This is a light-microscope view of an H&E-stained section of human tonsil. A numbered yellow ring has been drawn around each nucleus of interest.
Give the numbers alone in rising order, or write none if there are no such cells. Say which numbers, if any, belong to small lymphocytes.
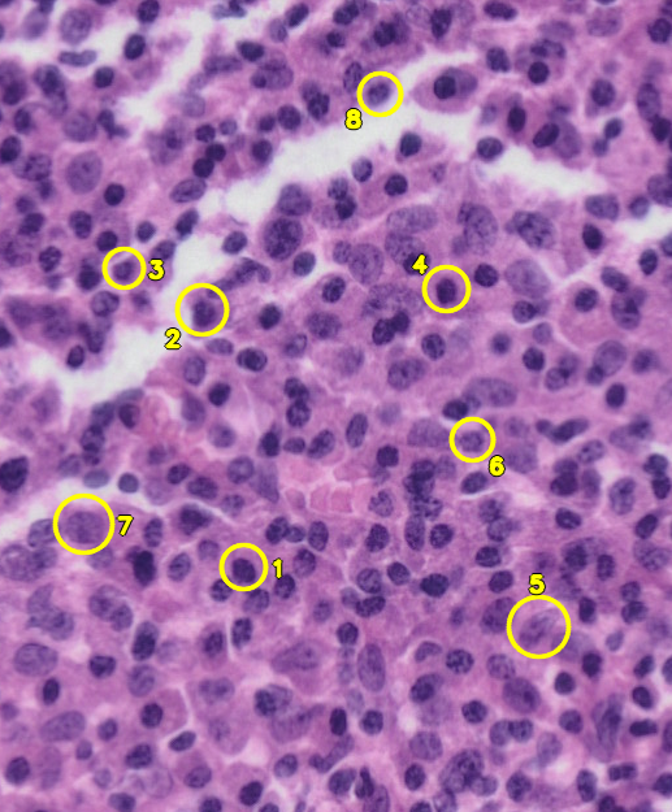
none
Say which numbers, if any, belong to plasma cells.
1, 2, 3, 4, 8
